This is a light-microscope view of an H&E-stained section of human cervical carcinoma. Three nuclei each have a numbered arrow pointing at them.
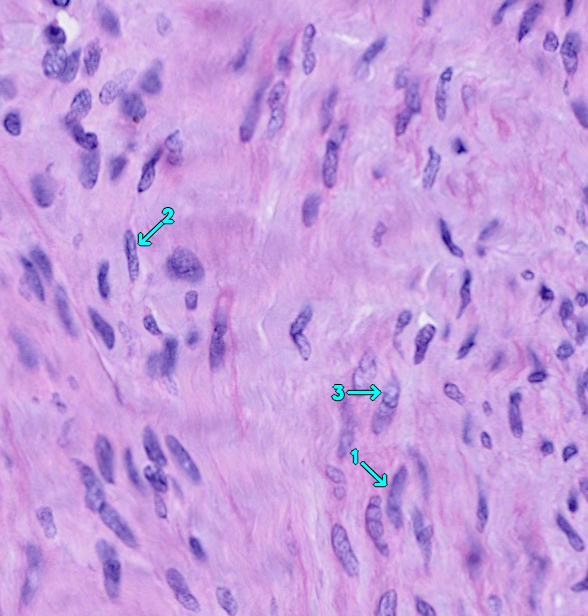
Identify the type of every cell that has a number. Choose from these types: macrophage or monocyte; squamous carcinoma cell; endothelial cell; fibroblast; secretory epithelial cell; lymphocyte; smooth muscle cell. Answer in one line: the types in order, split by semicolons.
smooth muscle cell; fibroblast; smooth muscle cell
